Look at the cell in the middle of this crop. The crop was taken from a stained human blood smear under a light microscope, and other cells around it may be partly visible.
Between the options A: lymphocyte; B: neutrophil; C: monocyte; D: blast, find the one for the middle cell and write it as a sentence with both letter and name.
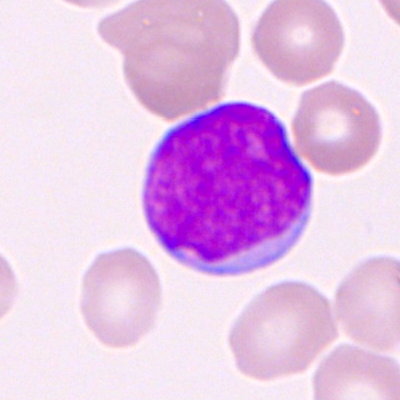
The one cell at the centre is a blast, as correctly stated in option D.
